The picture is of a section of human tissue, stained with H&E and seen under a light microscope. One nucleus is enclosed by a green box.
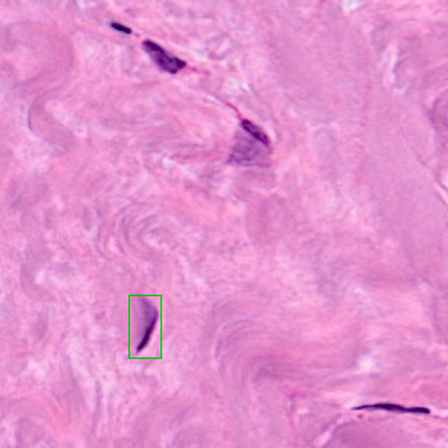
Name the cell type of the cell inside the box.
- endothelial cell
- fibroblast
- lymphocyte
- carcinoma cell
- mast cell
fibroblast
